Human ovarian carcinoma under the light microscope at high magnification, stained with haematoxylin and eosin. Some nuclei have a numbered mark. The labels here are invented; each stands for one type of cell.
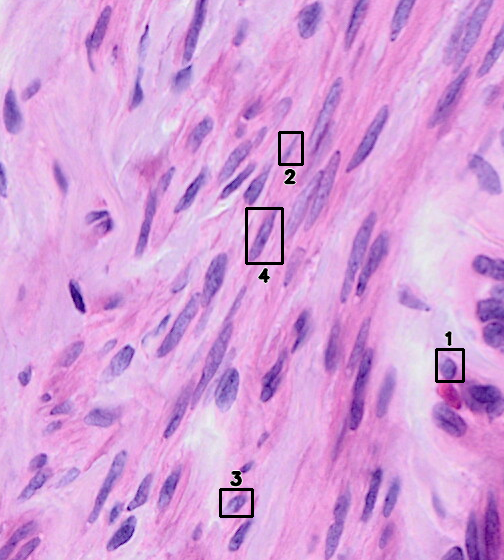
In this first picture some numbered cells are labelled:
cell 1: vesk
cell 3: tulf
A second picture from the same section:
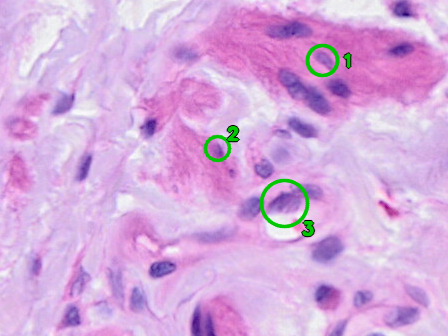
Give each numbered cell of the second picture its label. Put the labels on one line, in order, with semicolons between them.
tulf; tulf; vesk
